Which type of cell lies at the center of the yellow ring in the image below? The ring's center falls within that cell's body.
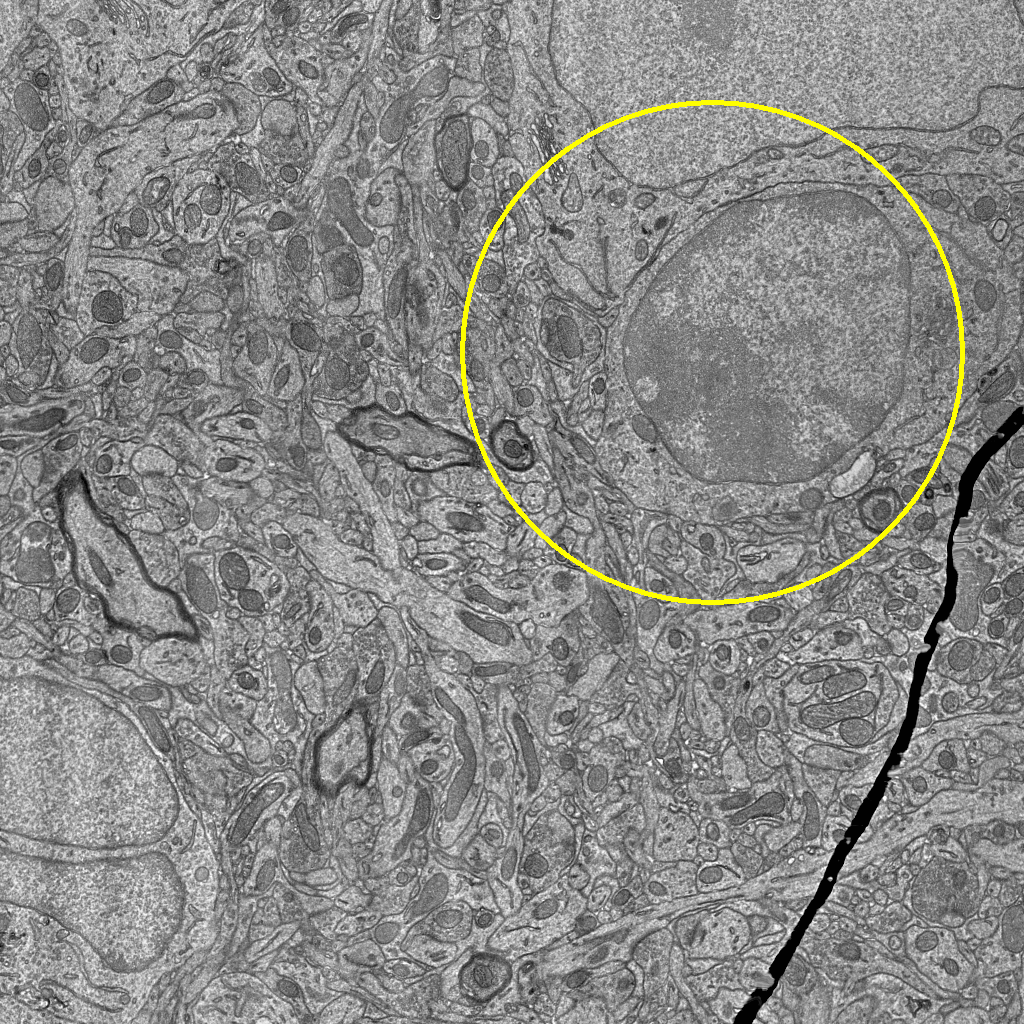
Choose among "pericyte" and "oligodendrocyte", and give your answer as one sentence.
The cell body at the center belongs to an oligodendrocyte.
